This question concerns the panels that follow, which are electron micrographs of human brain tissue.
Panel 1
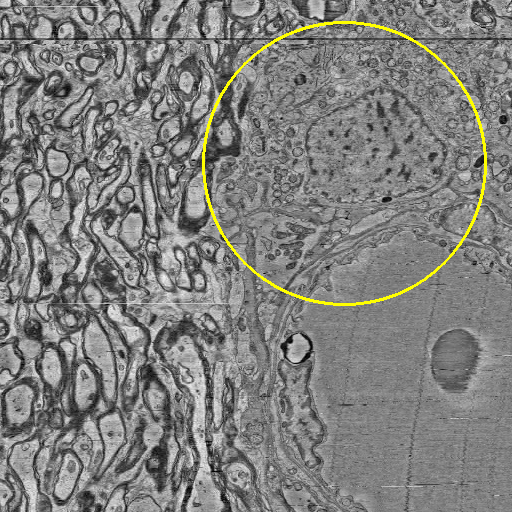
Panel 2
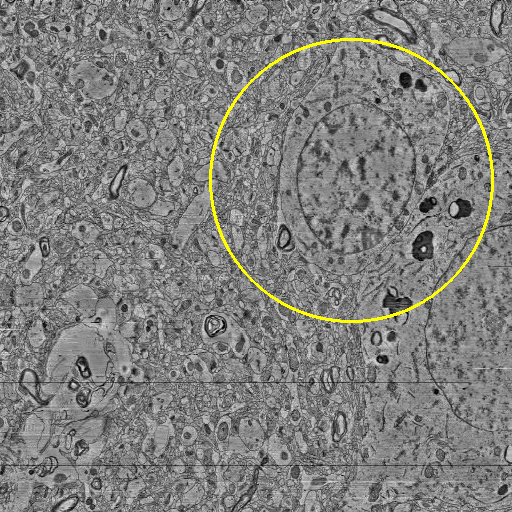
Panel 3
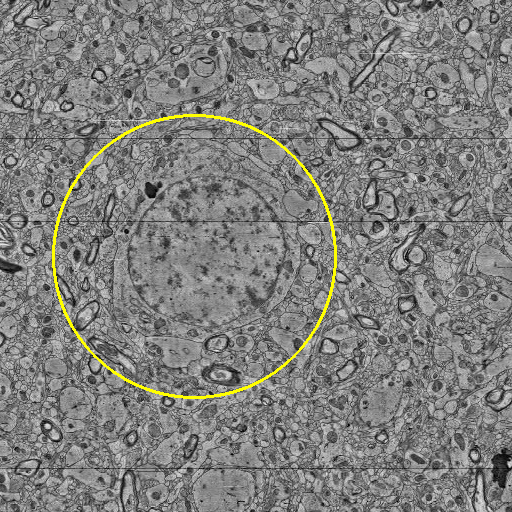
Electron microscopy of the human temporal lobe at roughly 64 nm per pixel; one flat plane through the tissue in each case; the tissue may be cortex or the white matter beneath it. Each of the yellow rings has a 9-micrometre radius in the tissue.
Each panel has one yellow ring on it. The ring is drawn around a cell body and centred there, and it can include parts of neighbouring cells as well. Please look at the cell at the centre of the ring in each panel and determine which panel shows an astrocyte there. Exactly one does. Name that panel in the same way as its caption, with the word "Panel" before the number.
Panel 1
